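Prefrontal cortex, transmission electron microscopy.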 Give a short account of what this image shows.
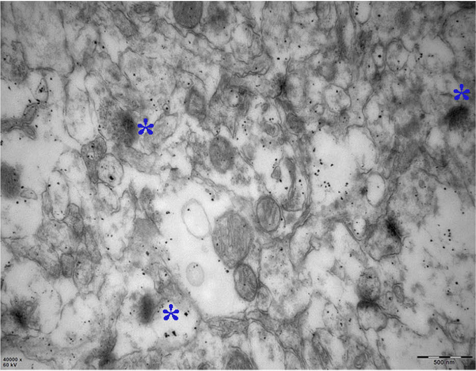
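This electron micrograph shows cortical neuropil packed with irregular membrane-bound profiles, some pale and swollen-looking, with scattered mitochondria. Several synaptic contacts appear as diffuse, smudged dark densities lacking a clear cleft, consistent with collapsed synapses.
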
